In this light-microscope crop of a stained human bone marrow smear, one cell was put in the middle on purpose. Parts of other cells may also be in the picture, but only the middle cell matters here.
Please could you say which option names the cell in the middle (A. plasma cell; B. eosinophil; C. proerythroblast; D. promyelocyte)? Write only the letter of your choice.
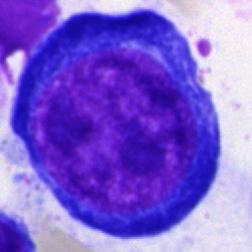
C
